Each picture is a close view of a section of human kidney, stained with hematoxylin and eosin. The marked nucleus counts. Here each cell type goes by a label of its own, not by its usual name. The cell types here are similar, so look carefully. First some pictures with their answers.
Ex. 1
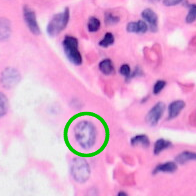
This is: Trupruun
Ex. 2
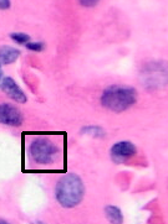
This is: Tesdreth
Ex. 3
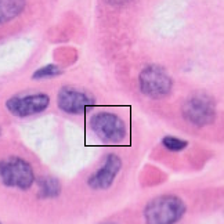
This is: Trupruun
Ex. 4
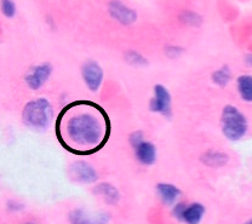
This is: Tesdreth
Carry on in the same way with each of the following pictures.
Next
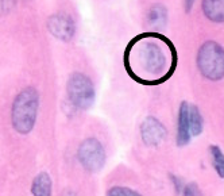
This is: Tesdreth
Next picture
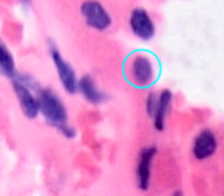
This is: Tesdreth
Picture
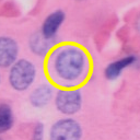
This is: Trupruun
